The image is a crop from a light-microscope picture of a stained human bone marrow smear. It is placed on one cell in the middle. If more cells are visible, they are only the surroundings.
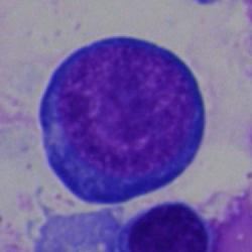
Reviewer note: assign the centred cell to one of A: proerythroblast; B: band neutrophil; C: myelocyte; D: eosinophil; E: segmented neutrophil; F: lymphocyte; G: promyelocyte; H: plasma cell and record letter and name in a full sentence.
Option A is right, the centrally situated cell being a proerythroblast.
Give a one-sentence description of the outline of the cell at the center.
Its periphery is smooth, and no projections arise from it.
